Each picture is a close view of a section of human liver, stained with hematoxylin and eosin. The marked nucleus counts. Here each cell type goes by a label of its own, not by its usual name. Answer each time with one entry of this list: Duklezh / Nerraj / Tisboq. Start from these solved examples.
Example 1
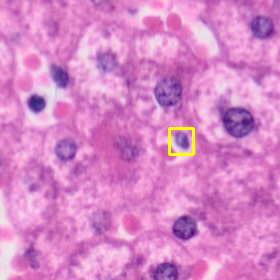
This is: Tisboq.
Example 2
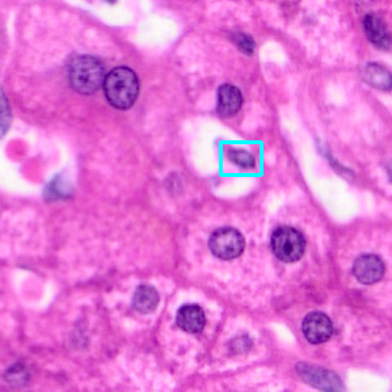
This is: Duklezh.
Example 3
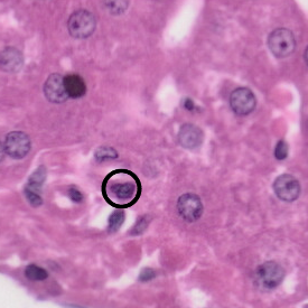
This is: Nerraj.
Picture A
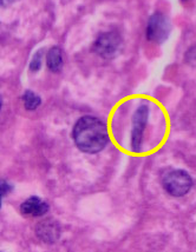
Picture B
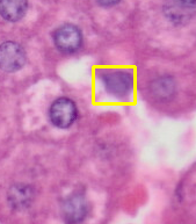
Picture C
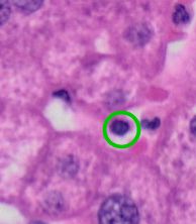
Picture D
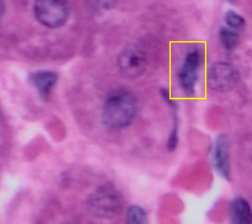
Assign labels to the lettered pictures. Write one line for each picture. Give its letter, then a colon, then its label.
A: Duklezh.
B: Duklezh.
C: Tisboq.
D: Nerraj.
